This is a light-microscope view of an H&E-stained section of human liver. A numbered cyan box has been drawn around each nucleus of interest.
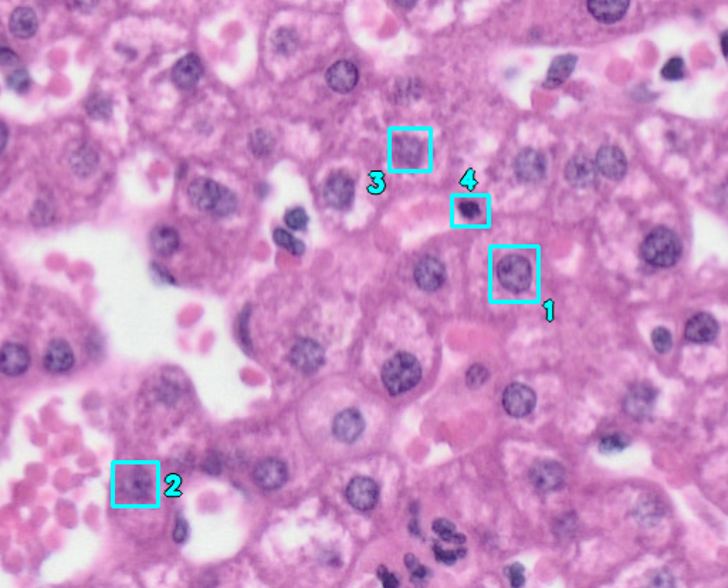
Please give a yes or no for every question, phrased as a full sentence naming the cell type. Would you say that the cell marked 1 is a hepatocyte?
Yes, the cell whose nucleus carries number 1 is a hepatocyte.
